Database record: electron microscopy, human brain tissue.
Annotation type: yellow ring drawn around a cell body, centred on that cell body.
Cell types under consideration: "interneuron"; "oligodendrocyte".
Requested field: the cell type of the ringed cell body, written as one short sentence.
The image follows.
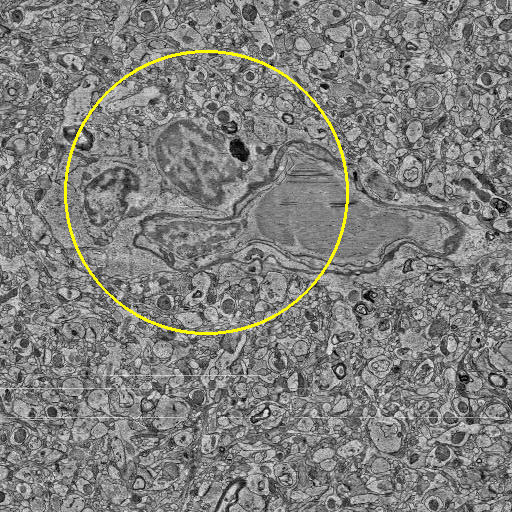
The ringed cell body represents an oligodendrocyte.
